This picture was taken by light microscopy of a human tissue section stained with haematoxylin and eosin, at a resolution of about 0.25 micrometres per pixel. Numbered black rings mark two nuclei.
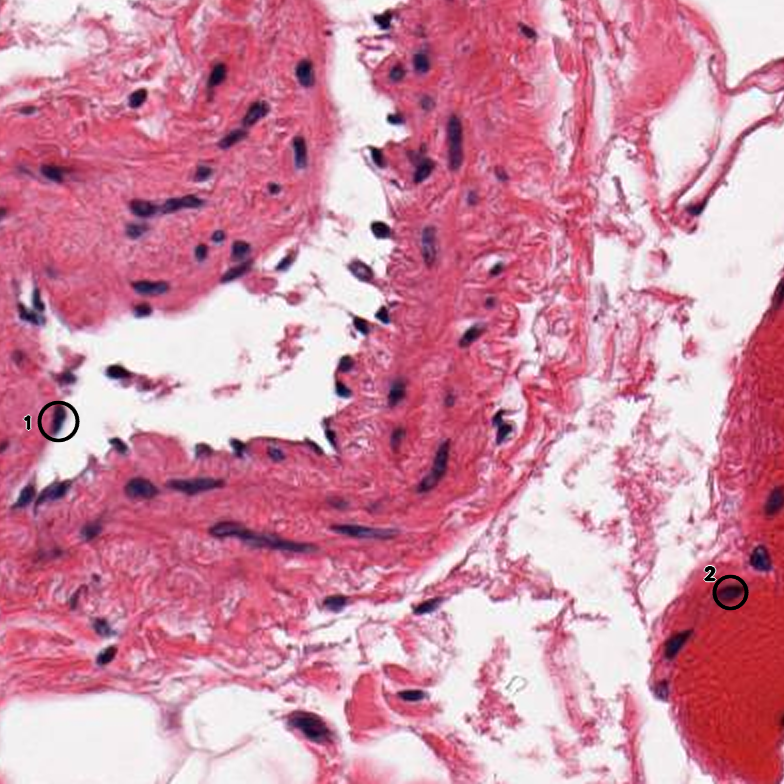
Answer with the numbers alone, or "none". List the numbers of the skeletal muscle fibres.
2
